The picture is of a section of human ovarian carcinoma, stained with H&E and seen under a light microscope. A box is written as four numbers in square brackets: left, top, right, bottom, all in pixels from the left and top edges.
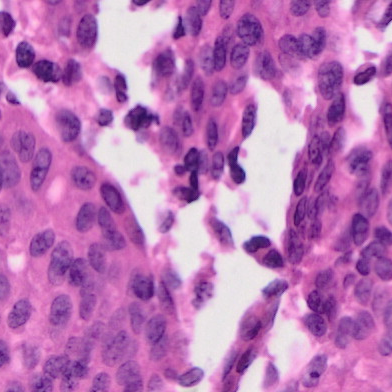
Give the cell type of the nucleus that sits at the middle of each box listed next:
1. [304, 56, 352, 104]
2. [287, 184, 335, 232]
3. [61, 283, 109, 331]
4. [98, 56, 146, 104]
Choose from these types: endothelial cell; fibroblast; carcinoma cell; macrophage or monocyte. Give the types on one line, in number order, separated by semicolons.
carcinoma cell; carcinoma cell; carcinoma cell; macrophage or monocyte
